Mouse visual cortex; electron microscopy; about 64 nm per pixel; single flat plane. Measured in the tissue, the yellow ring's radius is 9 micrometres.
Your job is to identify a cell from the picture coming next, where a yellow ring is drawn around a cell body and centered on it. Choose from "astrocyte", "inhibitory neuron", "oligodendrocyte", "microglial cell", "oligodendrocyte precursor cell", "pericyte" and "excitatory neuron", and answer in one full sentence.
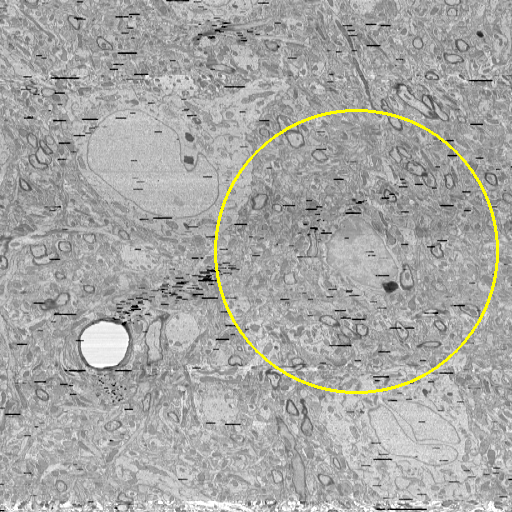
Centered in the yellow ring of the picture is the body of a microglial cell.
